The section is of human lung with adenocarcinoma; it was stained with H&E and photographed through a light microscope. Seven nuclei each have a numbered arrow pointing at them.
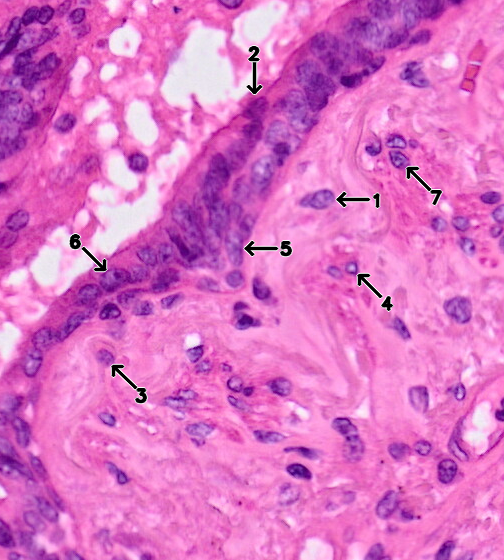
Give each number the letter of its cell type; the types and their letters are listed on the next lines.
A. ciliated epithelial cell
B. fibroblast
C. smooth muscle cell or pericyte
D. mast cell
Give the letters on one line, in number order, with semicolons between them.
B; A; D; C; A; A; C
